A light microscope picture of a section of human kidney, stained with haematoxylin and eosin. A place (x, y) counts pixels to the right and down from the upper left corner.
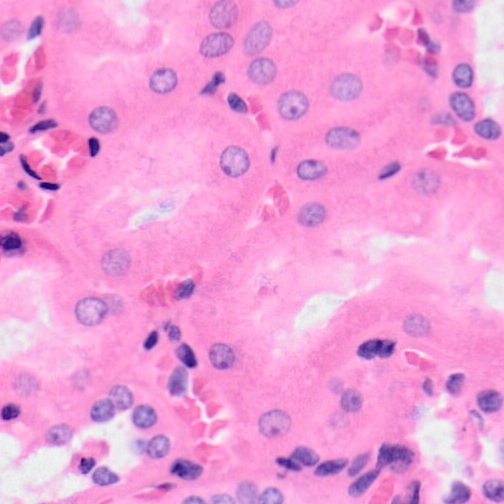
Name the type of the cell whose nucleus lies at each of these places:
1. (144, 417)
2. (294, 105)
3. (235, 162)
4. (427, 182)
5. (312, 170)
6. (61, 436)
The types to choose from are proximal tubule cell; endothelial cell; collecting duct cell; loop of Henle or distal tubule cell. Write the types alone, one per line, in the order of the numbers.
loop of Henle or distal tubule cell
proximal tubule cell
proximal tubule cell
proximal tubule cell
proximal tubule cell
loop of Henle or distal tubule cell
